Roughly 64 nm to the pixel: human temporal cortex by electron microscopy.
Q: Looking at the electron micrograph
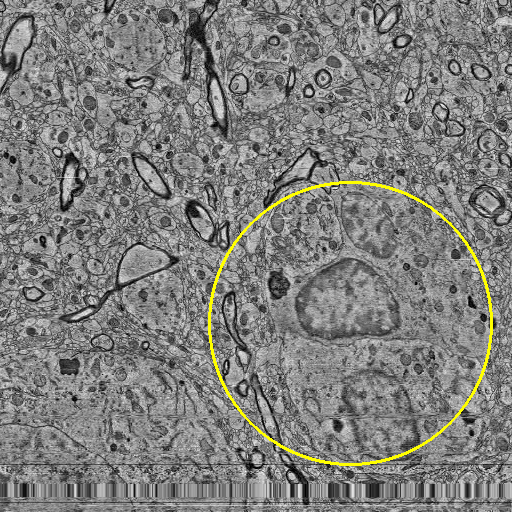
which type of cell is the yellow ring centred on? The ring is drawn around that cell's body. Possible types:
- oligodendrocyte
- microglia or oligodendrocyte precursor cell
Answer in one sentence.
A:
The yellow ring is centred on an oligodendrocyte.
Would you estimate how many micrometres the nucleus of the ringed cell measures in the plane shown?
The nucleus of the ringed cell is approximately 7 by 6 micrometres in this plane.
